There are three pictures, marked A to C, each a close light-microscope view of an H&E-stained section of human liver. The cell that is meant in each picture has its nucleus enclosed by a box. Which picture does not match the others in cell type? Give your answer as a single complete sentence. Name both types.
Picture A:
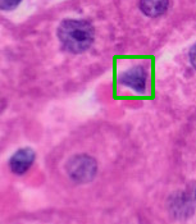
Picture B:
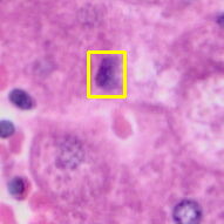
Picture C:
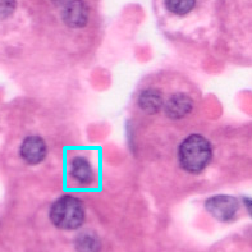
Picture A differs, because its cell is an endothelial cell and the rest are “fibroblasts or stellate cells”.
